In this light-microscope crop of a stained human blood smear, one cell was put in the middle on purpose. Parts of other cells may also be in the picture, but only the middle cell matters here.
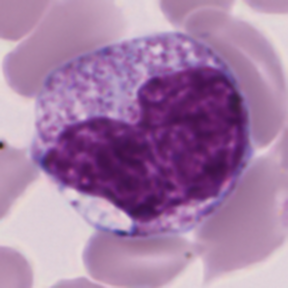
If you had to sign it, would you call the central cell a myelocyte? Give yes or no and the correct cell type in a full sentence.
Yes, this is a myelocyte, the cell in the middle of the crop.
